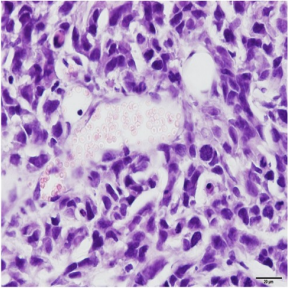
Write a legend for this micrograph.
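Densely packed tumor cells fill the field, with large purple, oval to elongated and irregular nuclei of varying size and scant pale pink cytoplasm. Near the centre lies a thin-walled vessel whose lumen holds pale red blood cells, with the tumor cells crowding closely around it.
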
